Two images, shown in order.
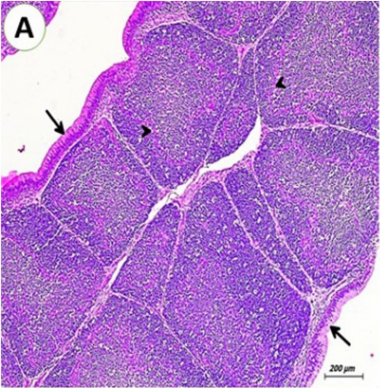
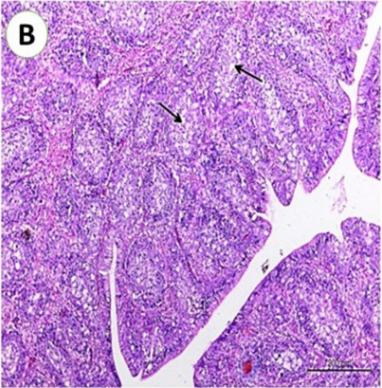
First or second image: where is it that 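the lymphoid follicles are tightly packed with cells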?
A: The first image.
